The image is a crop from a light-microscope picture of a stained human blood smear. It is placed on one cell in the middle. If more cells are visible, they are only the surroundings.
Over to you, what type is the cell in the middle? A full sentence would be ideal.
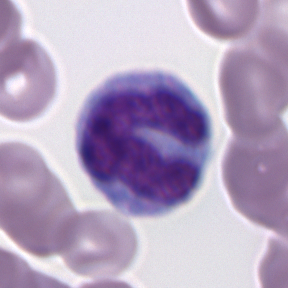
At the crop's centre, the cell is a monocyte.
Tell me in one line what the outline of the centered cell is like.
The membrane contour is even and smooth, with nothing projecting from it.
